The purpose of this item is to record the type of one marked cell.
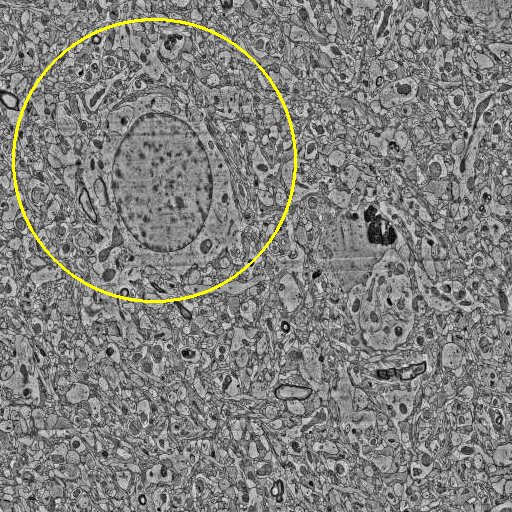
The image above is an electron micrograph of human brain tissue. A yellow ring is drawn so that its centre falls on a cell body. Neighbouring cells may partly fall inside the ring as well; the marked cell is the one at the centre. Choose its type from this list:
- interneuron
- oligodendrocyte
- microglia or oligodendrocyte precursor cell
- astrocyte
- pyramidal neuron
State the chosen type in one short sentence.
What the ring marks here is an astrocyte.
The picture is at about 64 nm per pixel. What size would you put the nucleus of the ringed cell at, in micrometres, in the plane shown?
The nucleus measures about 9 by 6 micrometres in this plane.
